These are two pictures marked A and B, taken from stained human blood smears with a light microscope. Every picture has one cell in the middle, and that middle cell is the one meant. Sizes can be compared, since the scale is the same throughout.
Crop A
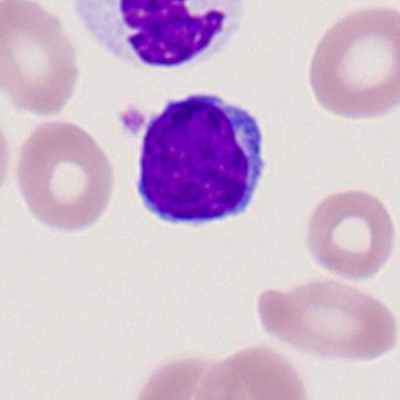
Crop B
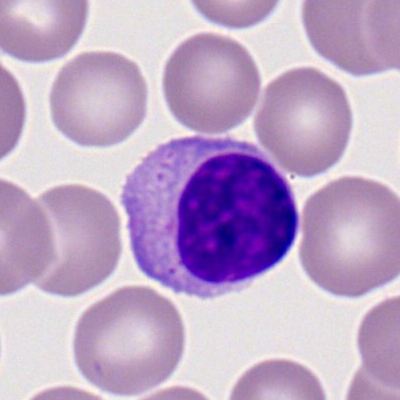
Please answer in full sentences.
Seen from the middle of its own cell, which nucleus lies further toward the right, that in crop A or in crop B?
The nucleus in crop B lies further toward the right of its cell.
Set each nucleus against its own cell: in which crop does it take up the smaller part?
In crop B the nucleus takes up the smaller part of its cell.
